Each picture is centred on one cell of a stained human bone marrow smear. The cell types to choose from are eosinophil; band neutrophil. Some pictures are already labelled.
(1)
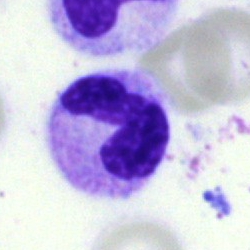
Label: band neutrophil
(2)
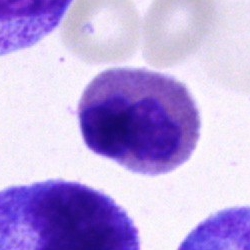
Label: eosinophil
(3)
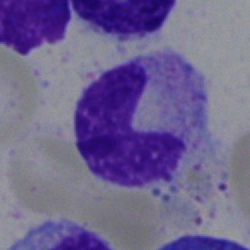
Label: band neutrophil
